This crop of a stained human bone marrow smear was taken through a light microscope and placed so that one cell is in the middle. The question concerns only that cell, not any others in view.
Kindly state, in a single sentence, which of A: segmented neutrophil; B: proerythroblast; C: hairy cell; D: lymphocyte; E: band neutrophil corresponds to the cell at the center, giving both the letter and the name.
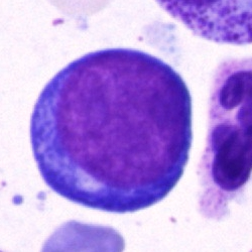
The cell in the middle is a proerythroblast, and so option B is correct.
